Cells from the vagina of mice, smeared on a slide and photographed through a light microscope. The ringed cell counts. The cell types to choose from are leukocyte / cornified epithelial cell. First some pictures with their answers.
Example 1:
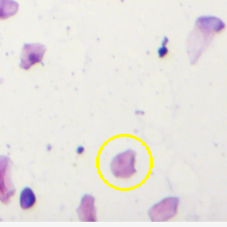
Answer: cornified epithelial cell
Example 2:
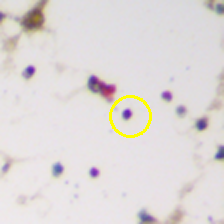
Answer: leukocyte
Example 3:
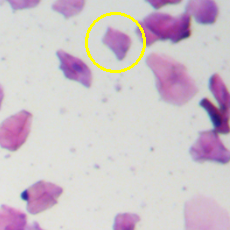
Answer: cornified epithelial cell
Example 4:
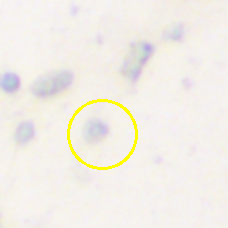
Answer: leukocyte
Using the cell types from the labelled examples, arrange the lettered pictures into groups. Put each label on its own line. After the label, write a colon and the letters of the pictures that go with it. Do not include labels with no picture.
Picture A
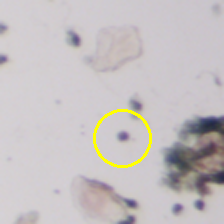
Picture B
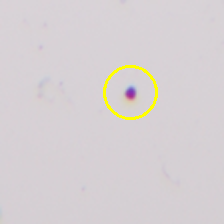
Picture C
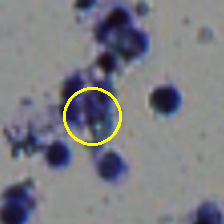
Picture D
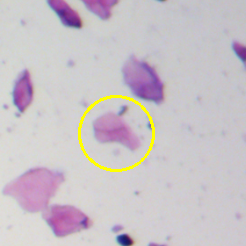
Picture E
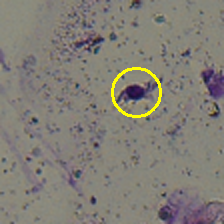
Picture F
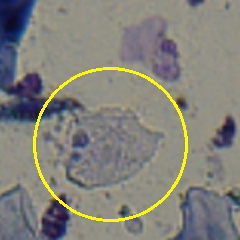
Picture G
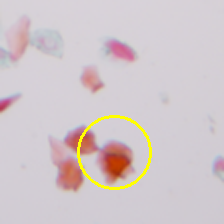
leukocyte: A, B, C, E
cornified epithelial cell: D, F, G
